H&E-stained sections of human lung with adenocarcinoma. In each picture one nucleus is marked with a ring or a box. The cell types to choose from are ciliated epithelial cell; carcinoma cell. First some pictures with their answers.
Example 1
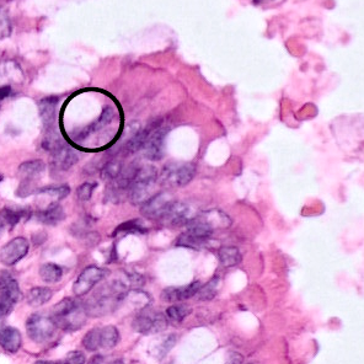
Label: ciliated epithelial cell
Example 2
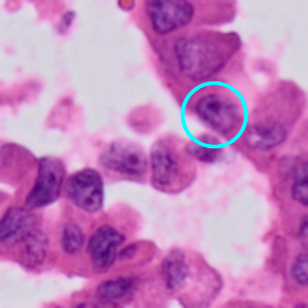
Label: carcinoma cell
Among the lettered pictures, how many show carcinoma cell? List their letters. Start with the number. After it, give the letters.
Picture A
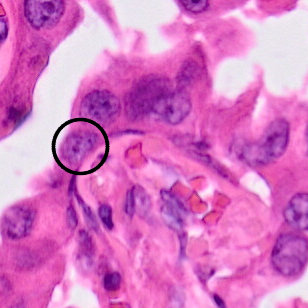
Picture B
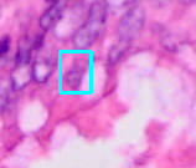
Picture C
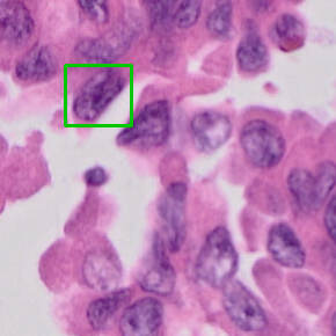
2: A, C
